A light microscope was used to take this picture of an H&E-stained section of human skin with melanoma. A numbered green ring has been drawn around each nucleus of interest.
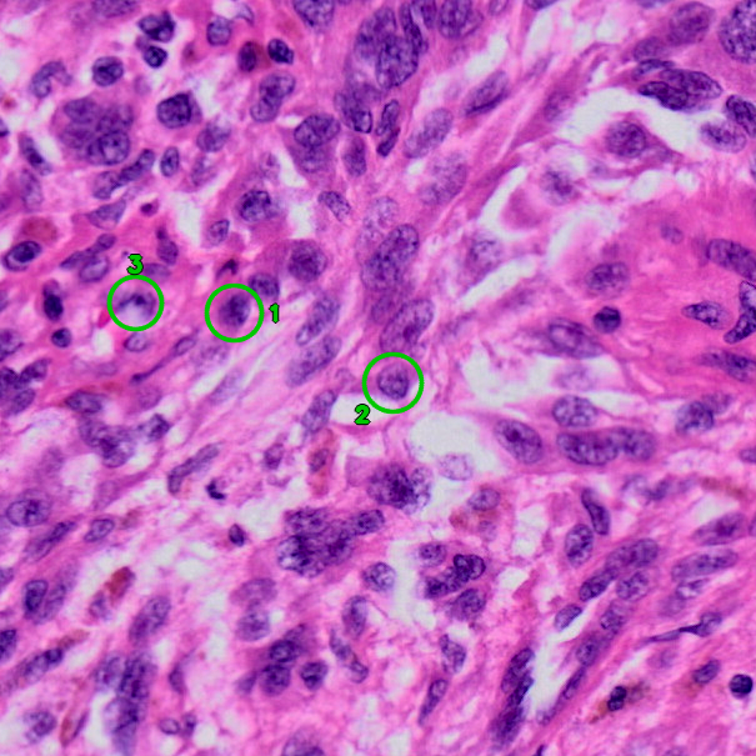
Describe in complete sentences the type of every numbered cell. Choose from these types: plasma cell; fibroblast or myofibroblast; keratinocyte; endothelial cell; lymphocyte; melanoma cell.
Cells 1 and 2 are melanoma cells. Cell 3 is an endothelial cell.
